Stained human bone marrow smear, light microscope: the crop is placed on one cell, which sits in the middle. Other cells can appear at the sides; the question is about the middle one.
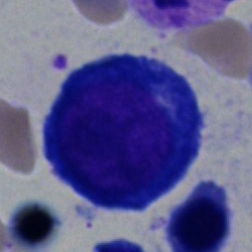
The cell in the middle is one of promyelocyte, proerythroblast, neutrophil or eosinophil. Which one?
proerythroblast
